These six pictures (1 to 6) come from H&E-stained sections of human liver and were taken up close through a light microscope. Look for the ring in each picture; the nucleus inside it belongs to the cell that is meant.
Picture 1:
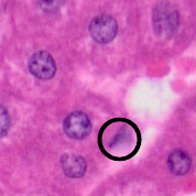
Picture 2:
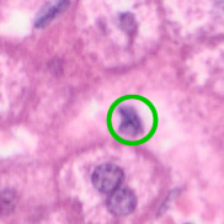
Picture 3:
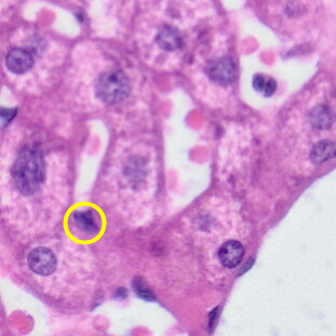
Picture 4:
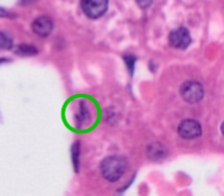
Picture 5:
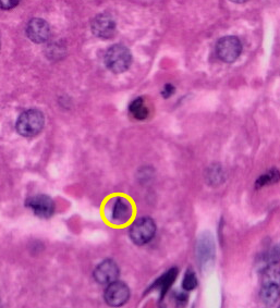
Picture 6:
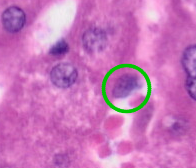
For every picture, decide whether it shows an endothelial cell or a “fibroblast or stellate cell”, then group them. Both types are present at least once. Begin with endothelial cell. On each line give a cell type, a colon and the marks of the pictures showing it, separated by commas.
endothelial cell: 1, 2, 3, 6
fibroblast or stellate cell: 4, 5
